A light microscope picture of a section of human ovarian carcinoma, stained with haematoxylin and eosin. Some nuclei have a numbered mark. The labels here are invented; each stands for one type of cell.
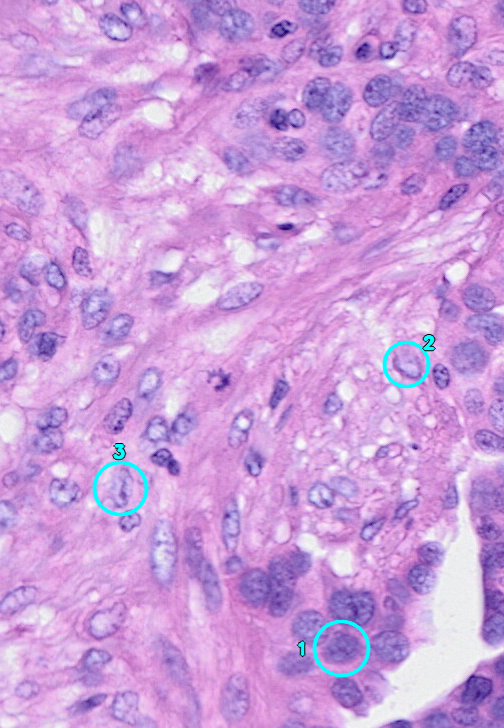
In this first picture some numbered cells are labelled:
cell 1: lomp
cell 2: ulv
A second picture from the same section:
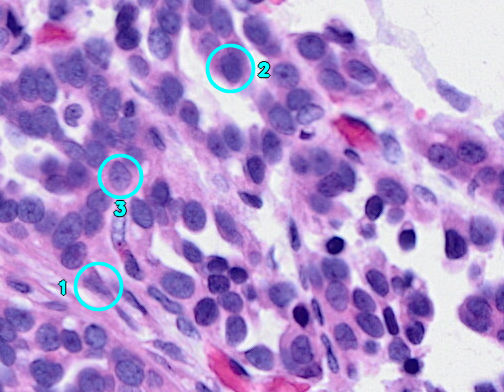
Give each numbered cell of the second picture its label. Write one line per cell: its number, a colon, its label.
1: ulv
2: lomp
3: lomp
